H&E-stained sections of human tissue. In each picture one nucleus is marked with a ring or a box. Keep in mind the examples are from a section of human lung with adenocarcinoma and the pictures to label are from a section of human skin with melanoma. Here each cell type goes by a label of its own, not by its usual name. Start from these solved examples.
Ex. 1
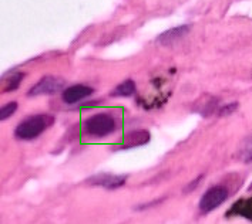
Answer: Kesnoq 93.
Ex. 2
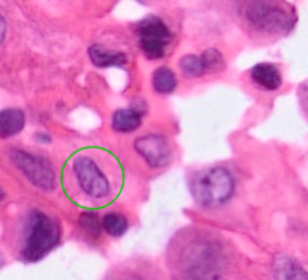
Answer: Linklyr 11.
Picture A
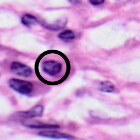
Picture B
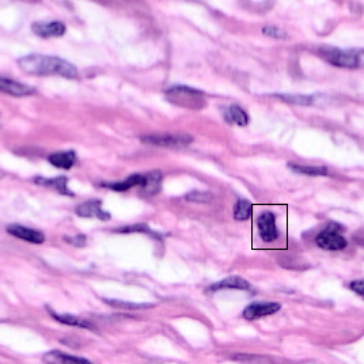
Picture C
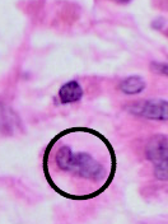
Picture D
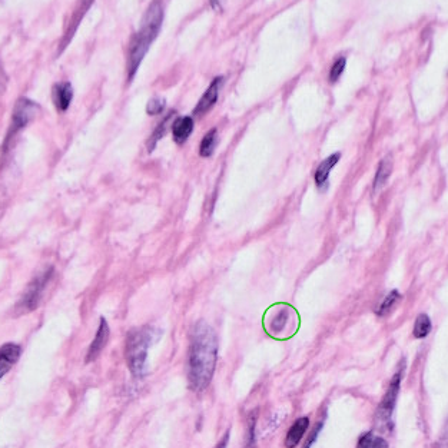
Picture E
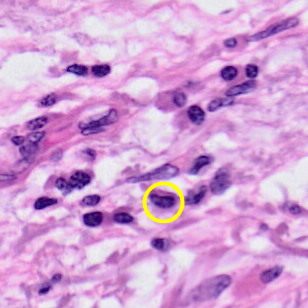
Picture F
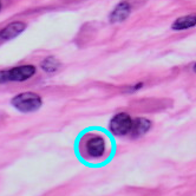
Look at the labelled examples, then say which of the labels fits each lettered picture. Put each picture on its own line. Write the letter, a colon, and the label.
A: Kesnoq 93.
B: Kesnoq 93.
C: Linklyr 11.
D: Linklyr 11.
E: Kesnoq 93.
F: Kesnoq 93.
